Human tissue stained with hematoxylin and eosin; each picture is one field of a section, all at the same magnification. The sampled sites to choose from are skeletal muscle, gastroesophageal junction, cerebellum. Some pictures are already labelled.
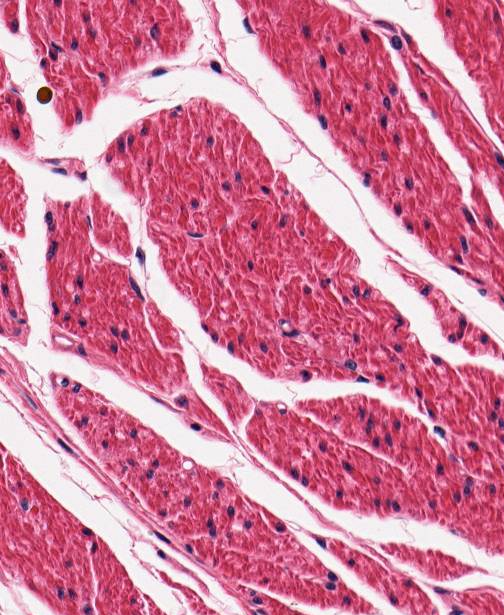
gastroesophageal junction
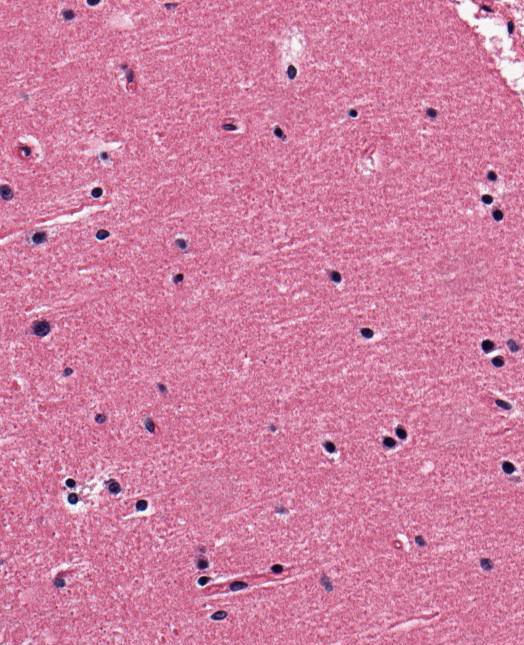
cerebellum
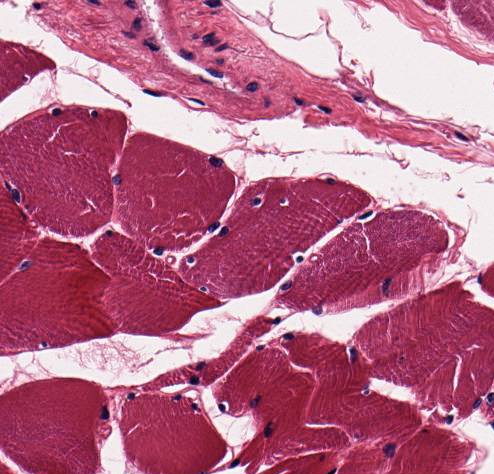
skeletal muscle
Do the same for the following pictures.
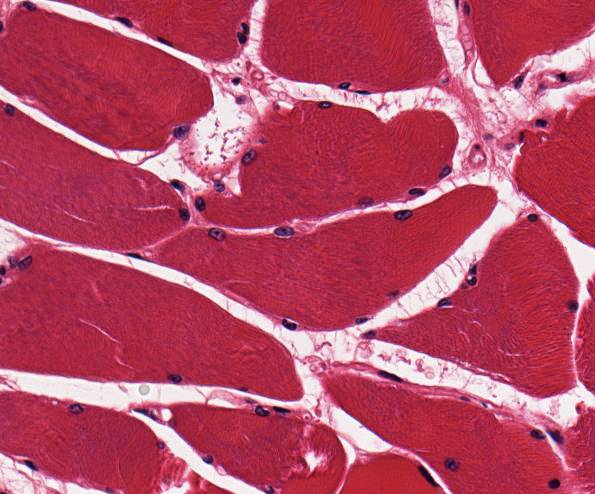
skeletal muscle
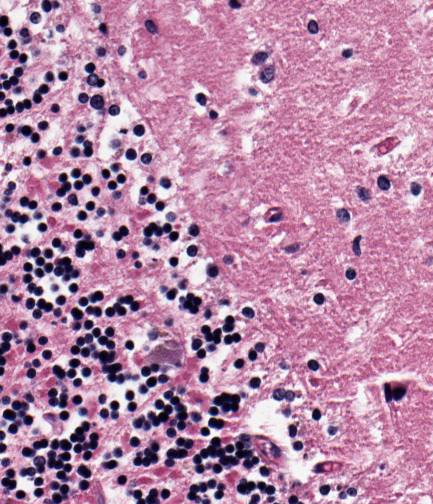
cerebellum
